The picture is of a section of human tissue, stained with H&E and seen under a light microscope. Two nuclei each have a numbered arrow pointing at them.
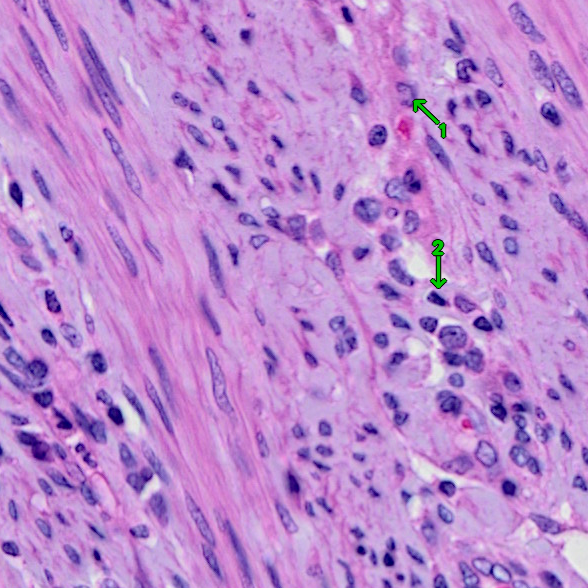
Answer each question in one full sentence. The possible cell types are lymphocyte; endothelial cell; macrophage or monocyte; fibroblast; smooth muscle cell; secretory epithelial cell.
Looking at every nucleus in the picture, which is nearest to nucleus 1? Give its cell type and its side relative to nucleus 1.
An endothelial cell lies closest, above nucleus 1.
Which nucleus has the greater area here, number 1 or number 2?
Nucleus 1 covers more area, about 1.5 times as much as nucleus 2.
